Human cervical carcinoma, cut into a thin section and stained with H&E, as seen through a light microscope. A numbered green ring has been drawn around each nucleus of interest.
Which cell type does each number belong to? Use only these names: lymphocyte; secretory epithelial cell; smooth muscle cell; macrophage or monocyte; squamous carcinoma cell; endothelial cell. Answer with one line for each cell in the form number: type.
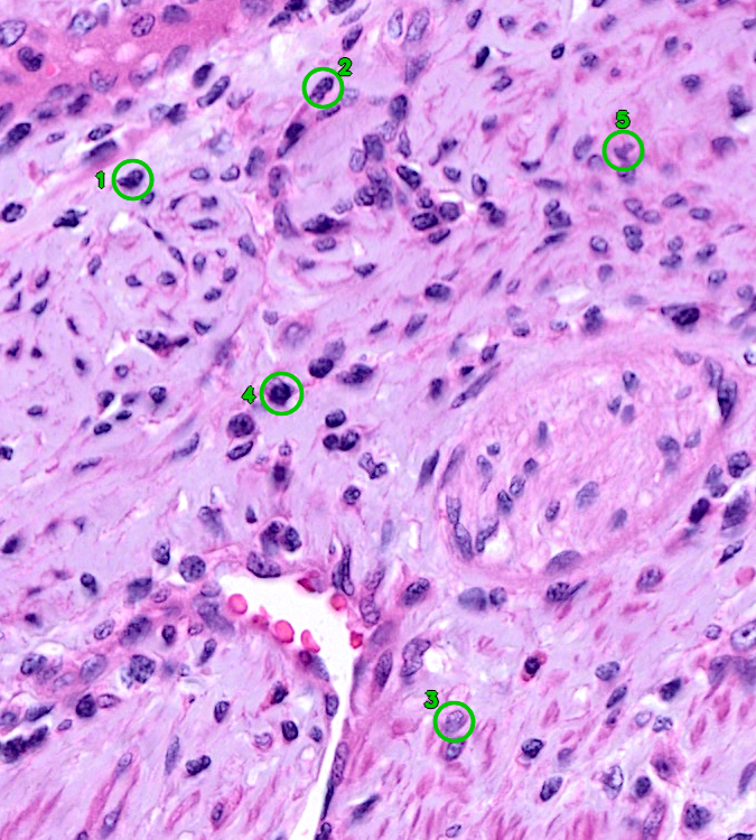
1: lymphocyte
2: lymphocyte
3: smooth muscle cell
4: lymphocyte
5: smooth muscle cell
